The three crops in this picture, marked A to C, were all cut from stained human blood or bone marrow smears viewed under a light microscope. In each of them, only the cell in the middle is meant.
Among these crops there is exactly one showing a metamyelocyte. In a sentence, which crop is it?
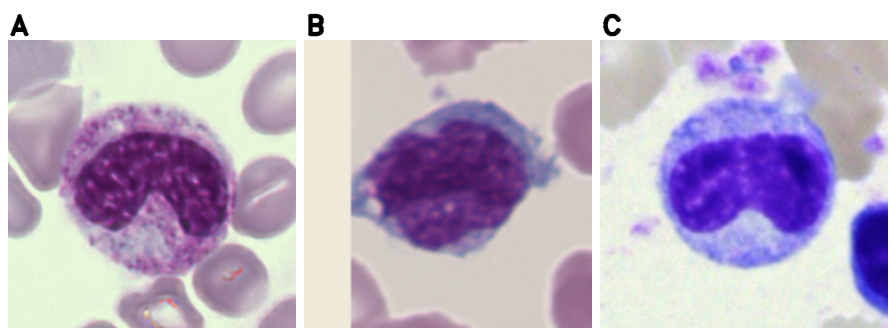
The cell at the center of crop C is the one that is a metamyelocyte.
